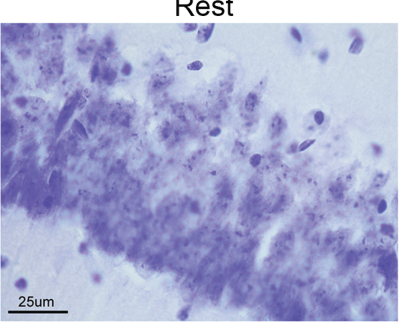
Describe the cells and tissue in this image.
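This is the pyramidal cell layer of the hippocampus, a dense diagonal band of closely packed pyramidal neurons stained purple. On either side lies paler neuropil holding scattered small, elongated dark nuclei.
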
